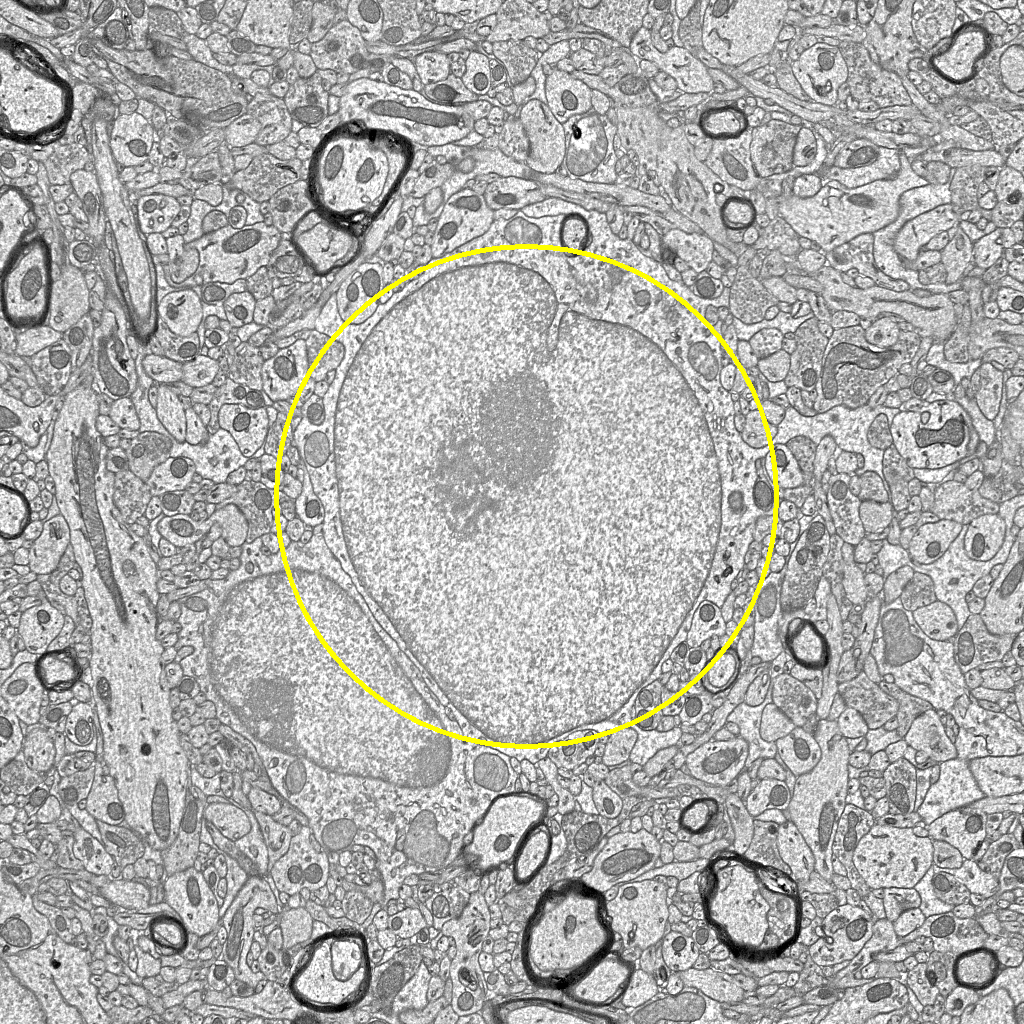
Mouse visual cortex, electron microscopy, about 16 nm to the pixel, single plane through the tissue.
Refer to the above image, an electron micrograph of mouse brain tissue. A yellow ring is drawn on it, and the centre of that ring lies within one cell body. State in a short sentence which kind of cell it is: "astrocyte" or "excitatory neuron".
The centre of the ring falls on an astrocyte.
